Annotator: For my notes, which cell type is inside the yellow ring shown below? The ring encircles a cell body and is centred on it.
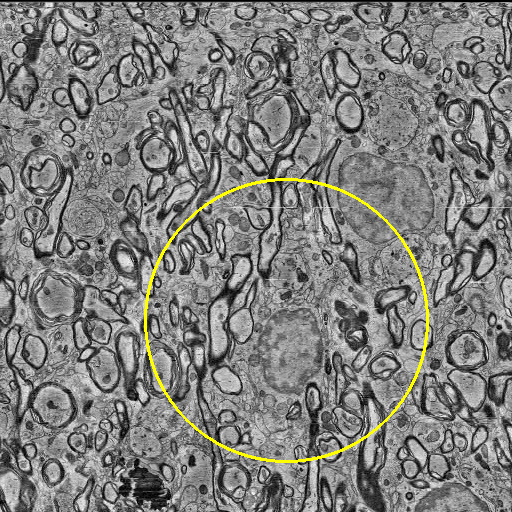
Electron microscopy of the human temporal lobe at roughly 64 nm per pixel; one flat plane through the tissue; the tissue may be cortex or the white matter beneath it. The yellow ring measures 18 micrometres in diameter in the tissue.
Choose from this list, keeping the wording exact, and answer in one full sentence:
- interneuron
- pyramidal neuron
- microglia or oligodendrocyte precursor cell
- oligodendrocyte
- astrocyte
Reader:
At the centre of the yellow ring there is an oligodendrocyte, as shown in the picture.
